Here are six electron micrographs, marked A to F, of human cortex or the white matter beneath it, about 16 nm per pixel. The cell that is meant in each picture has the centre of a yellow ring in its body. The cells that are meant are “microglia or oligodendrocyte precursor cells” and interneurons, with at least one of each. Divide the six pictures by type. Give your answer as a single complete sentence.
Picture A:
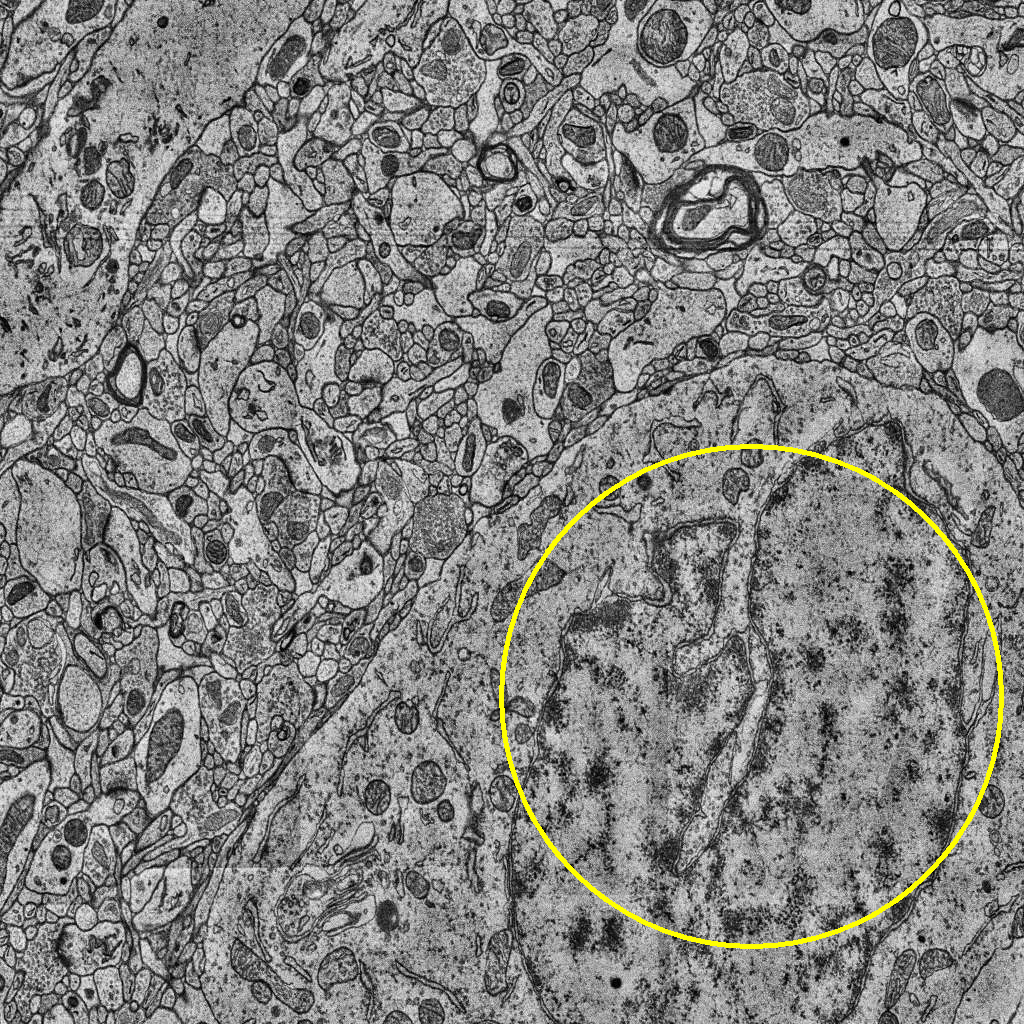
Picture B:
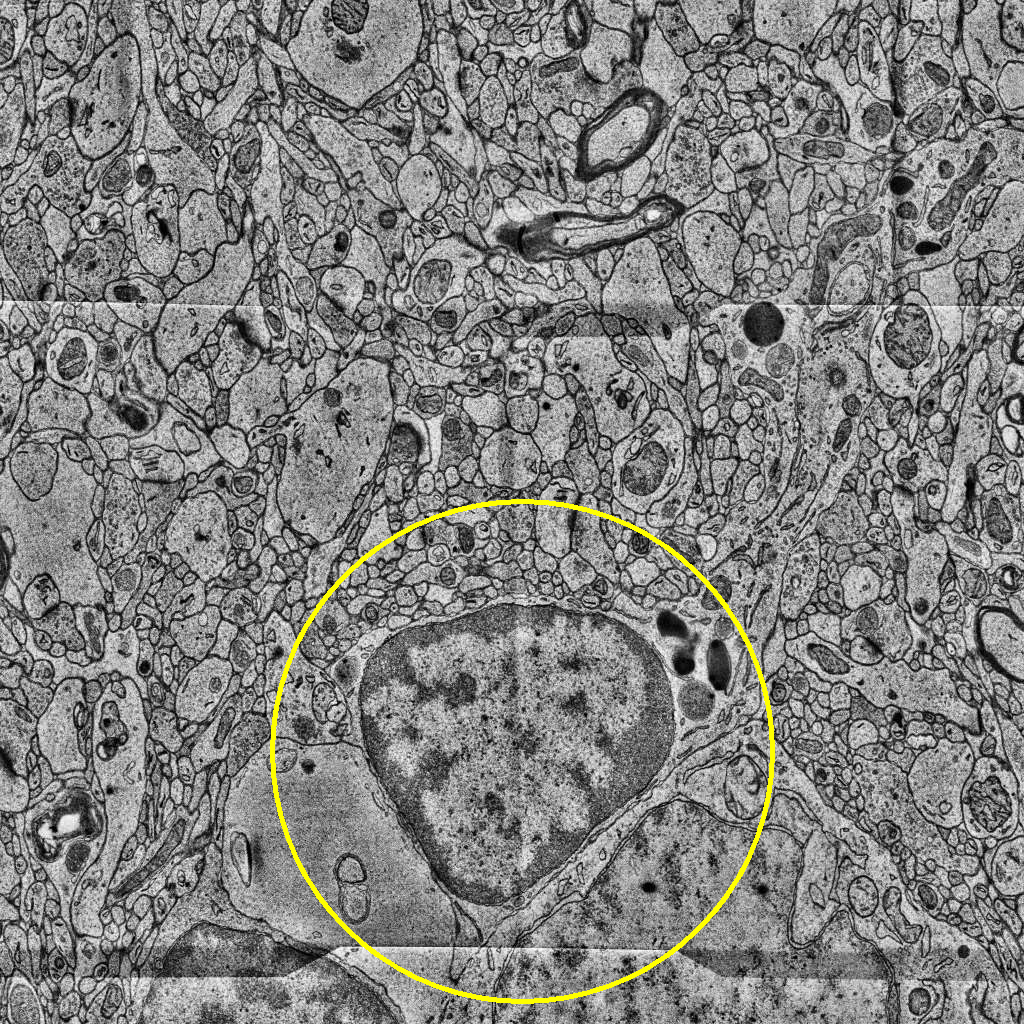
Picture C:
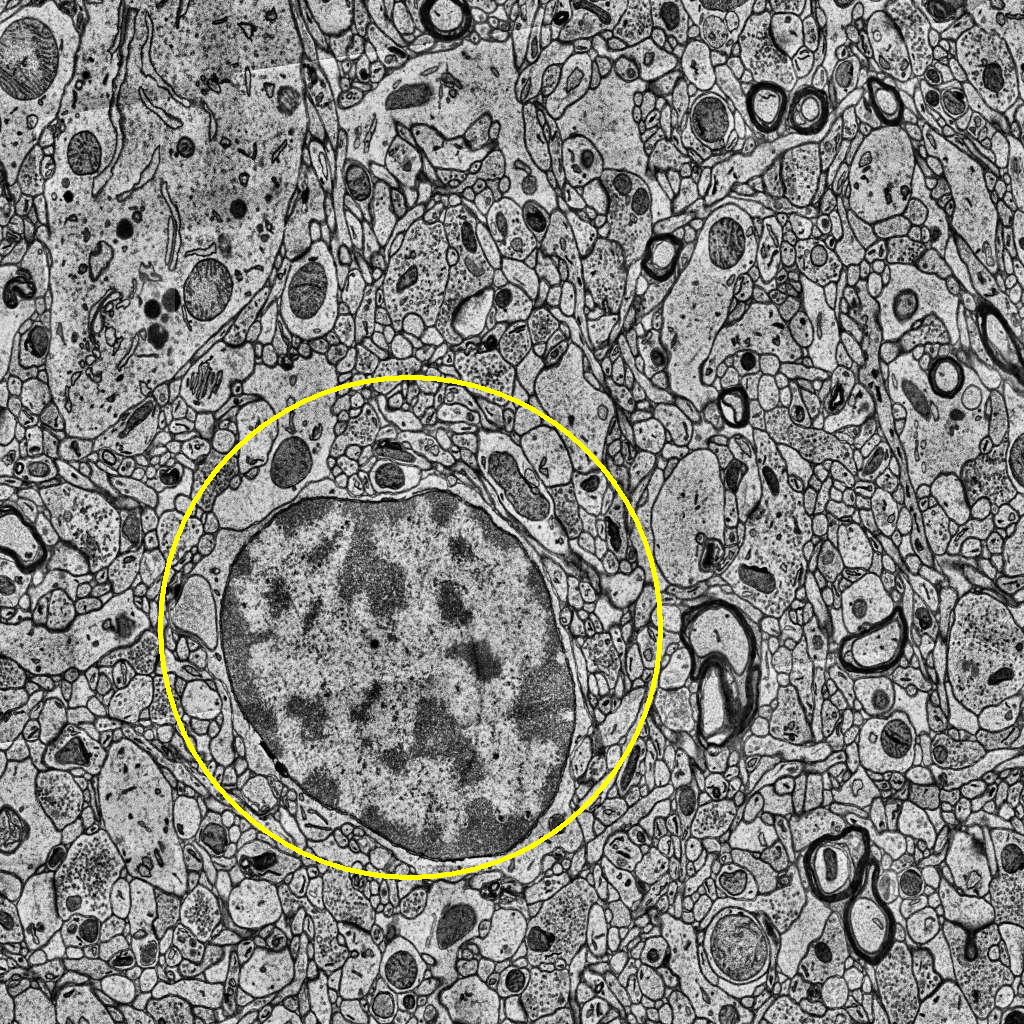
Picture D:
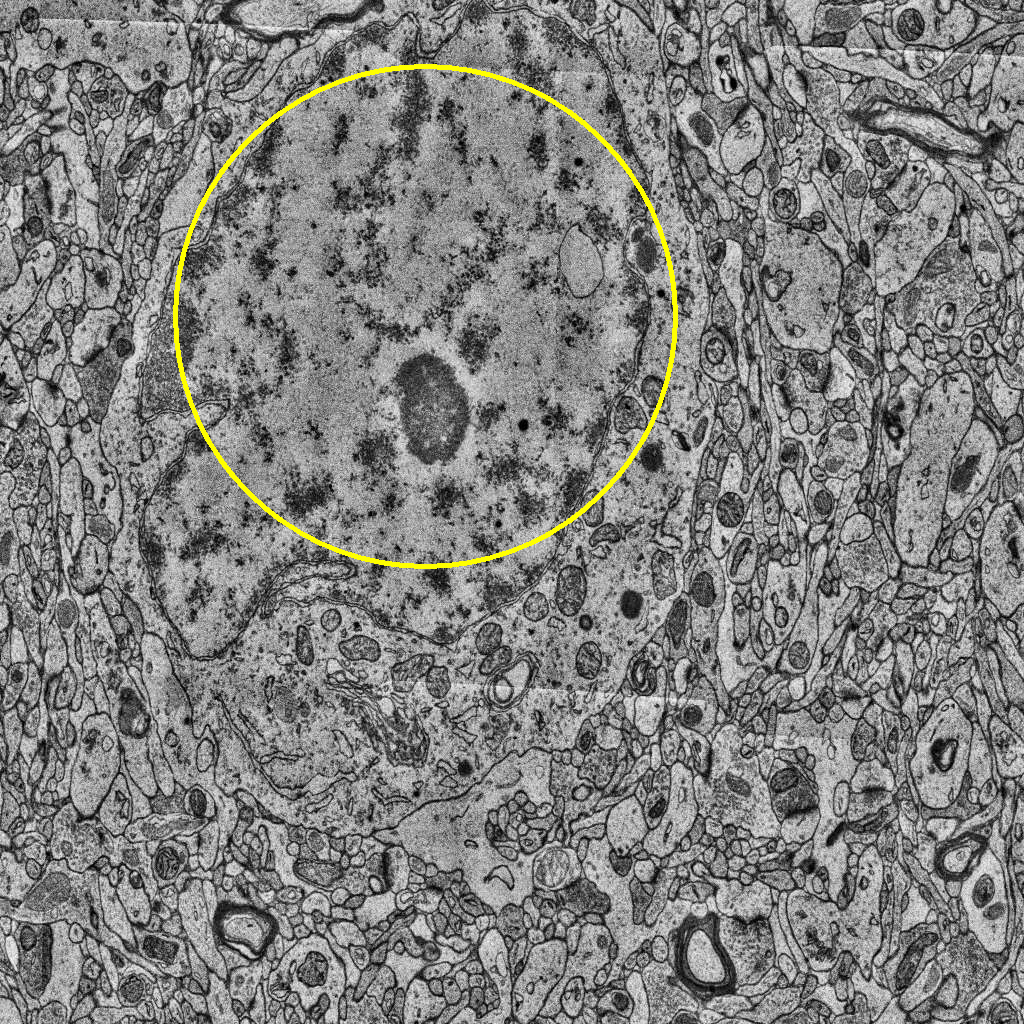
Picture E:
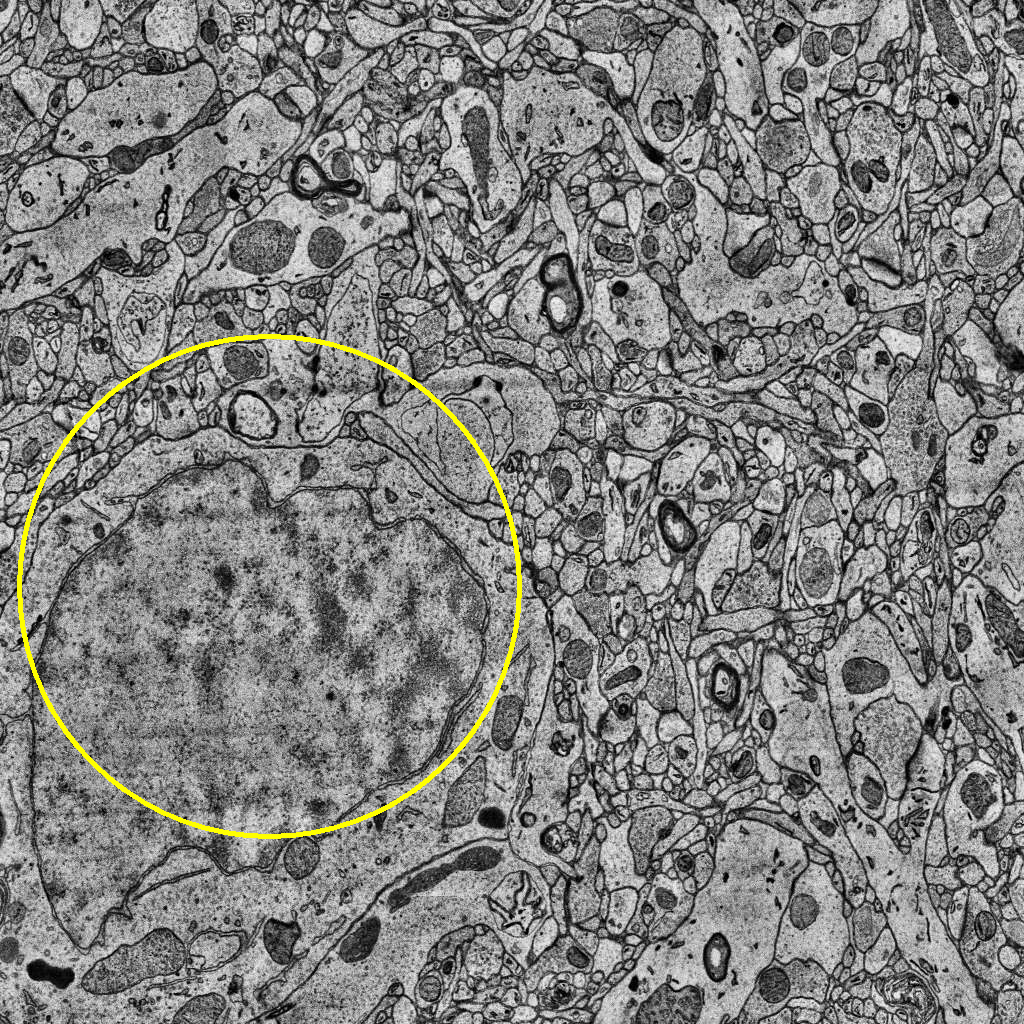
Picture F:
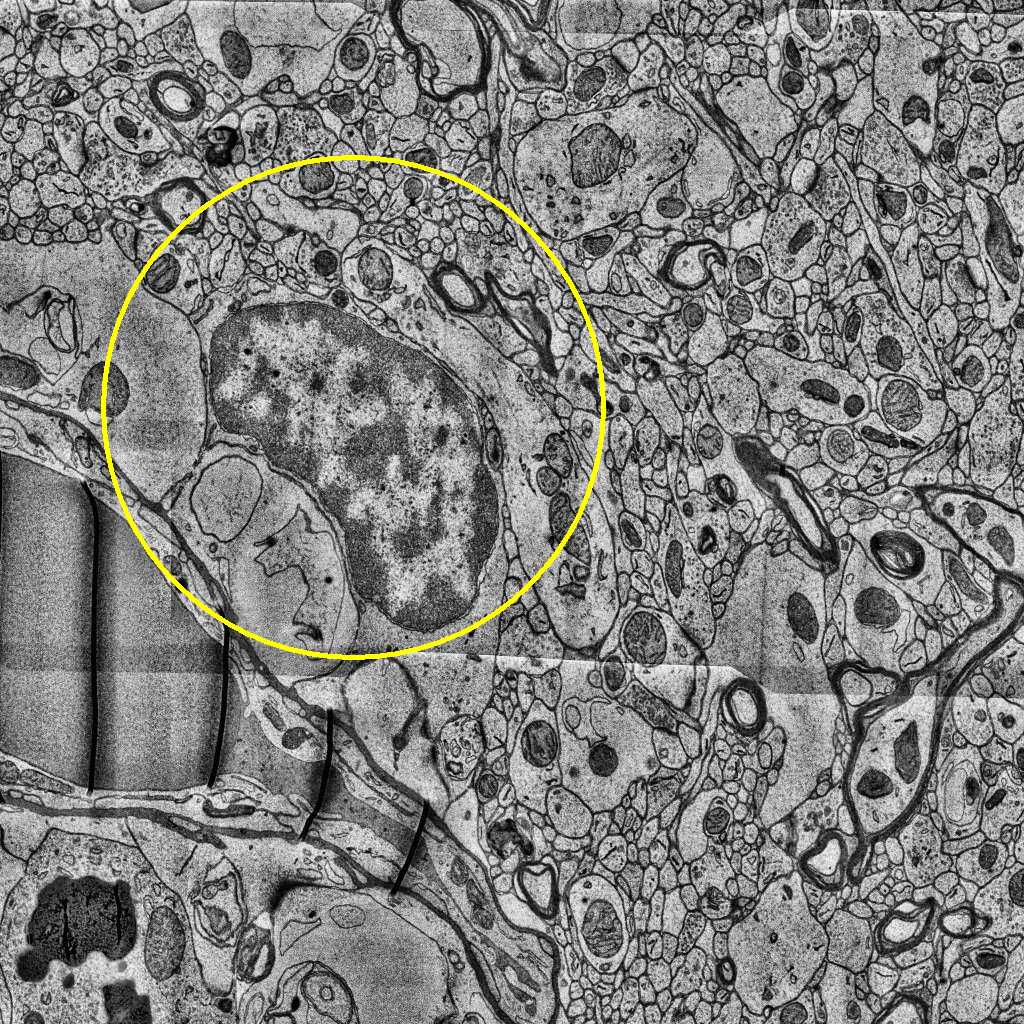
Pictures B, C and F show “microglia or oligodendrocyte precursor cells”, and pictures A, D and E show interneurons.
